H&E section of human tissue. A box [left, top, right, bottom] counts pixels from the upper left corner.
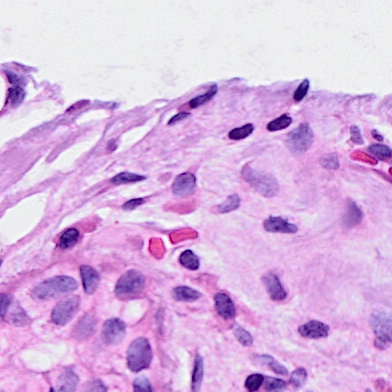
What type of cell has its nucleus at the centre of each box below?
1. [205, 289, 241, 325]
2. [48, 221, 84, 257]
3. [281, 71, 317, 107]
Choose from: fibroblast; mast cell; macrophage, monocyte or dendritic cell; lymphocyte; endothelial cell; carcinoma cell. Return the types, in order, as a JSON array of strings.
["mast cell", "mast cell", "lymphocyte"]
